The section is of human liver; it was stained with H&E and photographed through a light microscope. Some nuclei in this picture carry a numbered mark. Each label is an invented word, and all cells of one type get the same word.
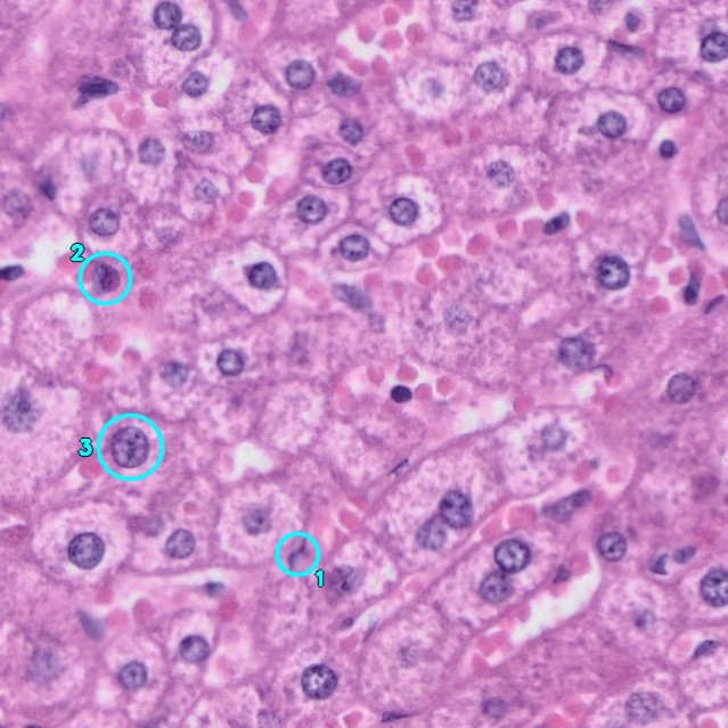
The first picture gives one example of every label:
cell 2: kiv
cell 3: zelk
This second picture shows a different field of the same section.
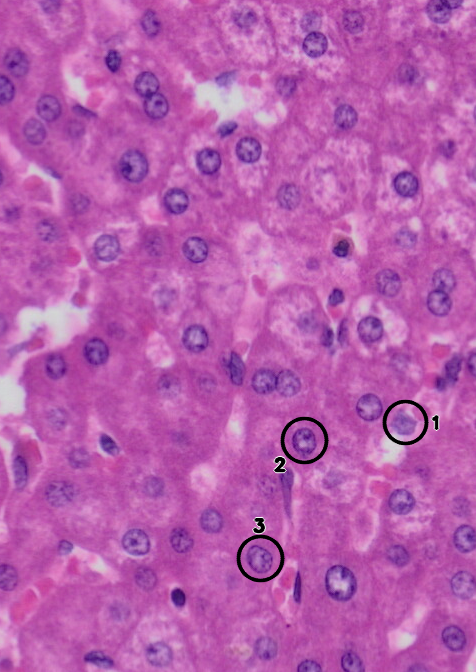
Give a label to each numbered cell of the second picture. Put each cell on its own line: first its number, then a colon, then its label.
1: kiv
2: zelk
3: zelk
